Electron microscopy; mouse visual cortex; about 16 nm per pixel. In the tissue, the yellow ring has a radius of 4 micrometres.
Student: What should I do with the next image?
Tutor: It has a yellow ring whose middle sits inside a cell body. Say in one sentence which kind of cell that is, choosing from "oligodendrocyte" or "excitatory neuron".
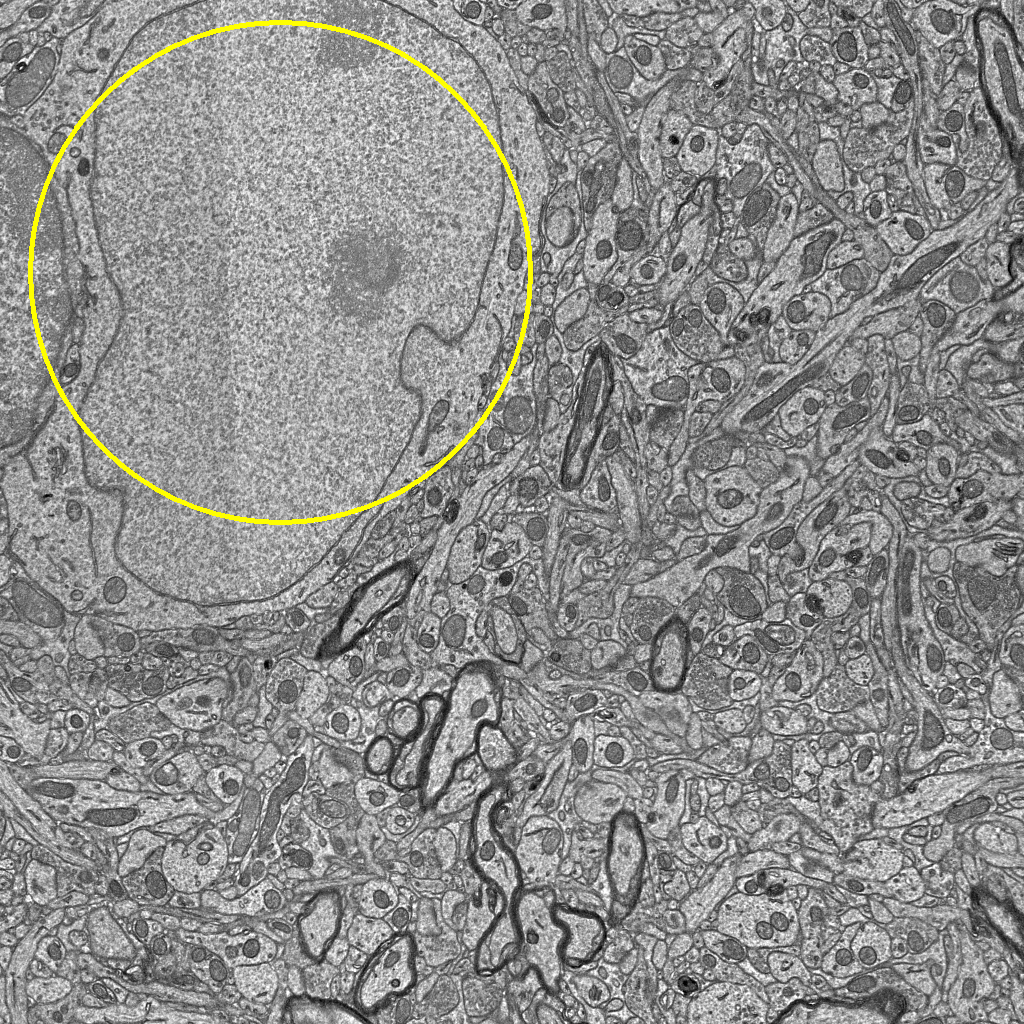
The ring's centre is occupied by an excitatory neuron.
